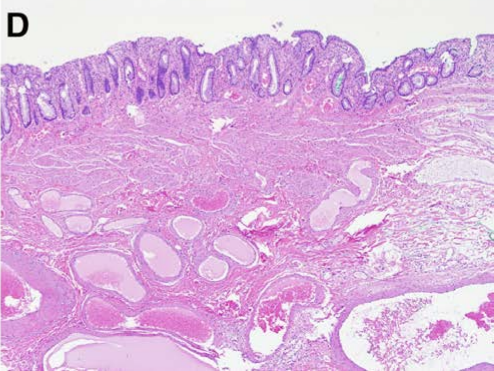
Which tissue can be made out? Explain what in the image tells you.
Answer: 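Loose connective tissue. The stroma contains many dilated, fluid- and blood-filled vessels.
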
